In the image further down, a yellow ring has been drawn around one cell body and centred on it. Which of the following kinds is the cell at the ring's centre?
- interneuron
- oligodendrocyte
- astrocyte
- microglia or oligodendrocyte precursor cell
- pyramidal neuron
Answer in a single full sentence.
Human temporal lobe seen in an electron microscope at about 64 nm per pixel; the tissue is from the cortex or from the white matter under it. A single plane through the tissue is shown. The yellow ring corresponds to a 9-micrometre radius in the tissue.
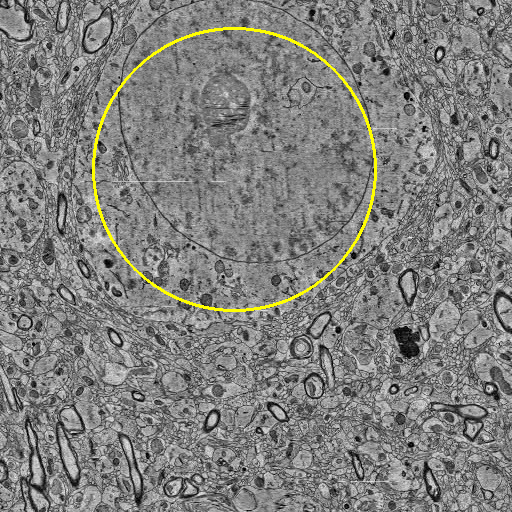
In the picture, the cell sitting at the centre of the yellow ring is a pyramidal neuron.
